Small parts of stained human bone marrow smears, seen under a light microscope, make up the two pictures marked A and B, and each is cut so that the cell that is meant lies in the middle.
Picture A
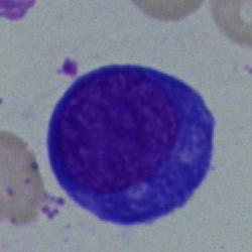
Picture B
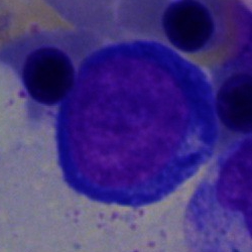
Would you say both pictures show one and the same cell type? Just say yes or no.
yes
